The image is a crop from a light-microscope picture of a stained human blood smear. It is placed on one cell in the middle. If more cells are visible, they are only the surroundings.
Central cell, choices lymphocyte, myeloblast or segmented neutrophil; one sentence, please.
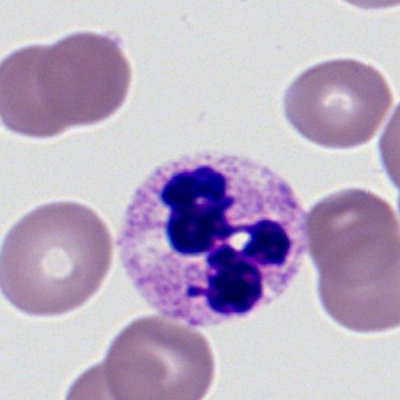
In the crop, the cell of interest at the centre is a segmented neutrophil.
